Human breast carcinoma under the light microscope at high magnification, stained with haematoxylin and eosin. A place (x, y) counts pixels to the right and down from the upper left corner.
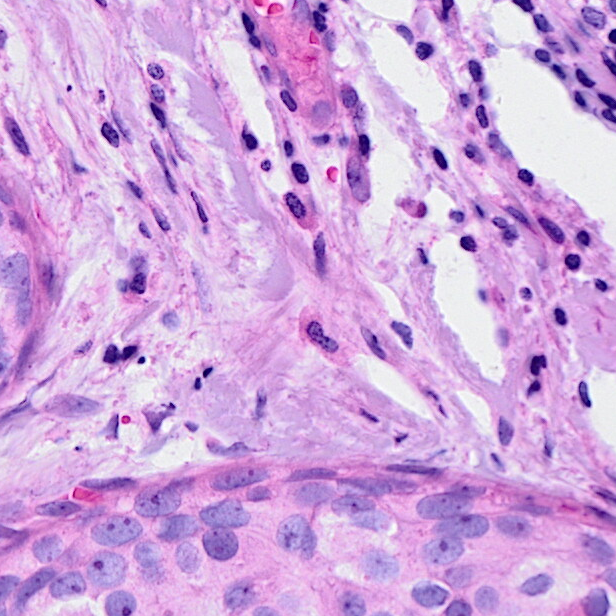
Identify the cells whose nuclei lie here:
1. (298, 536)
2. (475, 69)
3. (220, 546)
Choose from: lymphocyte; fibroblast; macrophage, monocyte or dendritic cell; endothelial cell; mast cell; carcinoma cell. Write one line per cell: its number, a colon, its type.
1: carcinoma cell
2: lymphocyte
3: carcinoma cell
